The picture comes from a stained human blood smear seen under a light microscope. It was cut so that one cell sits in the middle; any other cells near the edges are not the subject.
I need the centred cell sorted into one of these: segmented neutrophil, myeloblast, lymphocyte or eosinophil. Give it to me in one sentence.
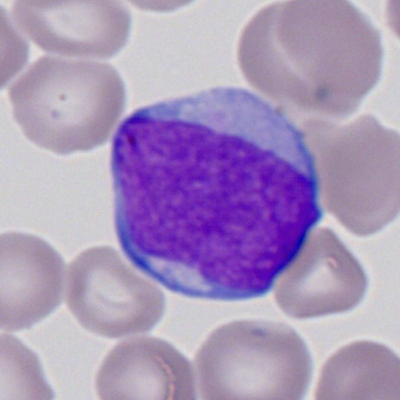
The crop centres on a single cell, and that cell is a myeloblast.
